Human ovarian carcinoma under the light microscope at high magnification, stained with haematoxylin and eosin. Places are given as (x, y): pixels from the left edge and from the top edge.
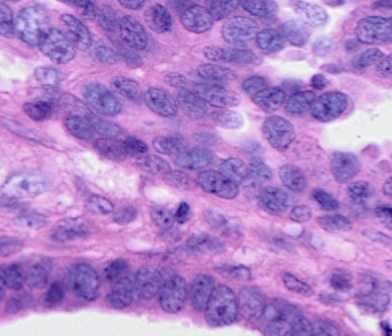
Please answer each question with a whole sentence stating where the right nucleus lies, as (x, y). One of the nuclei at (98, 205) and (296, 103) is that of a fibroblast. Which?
Among the two, the nucleus at (98, 205) is the nucleus of a fibroblast.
